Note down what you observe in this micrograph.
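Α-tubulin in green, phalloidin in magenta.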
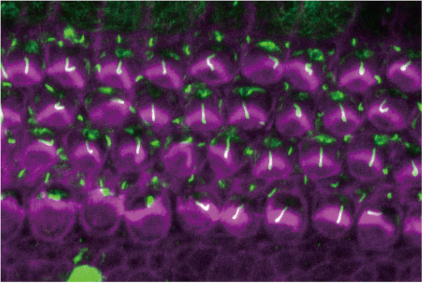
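Surface view of a cochlear sensory epithelium in which rounded cell apices, outlined in magenta, lie in three closely packed upper rows and one separate lower row. Small green dots are scattered among the cells, and a band of diffuse green lies along the top edge of the field.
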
